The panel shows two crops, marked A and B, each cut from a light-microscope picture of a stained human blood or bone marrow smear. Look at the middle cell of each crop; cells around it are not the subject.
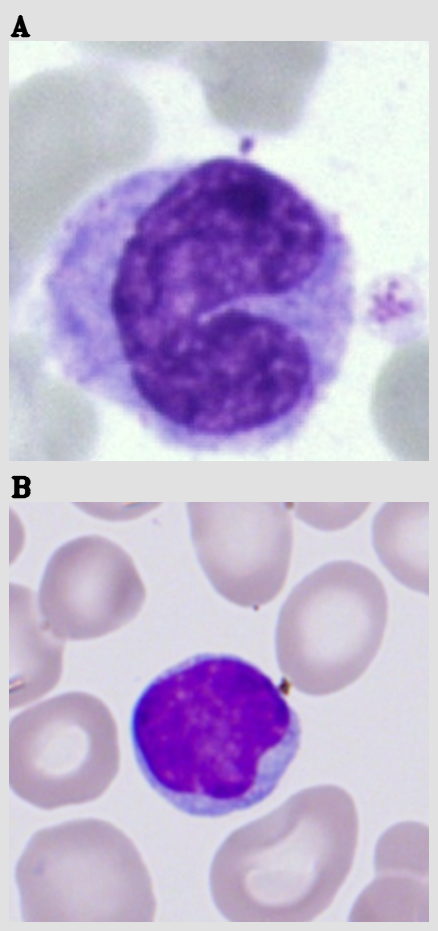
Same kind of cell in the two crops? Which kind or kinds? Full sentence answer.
No, crop A is where a monocyte is, and crop B is where a lymphocyte is.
